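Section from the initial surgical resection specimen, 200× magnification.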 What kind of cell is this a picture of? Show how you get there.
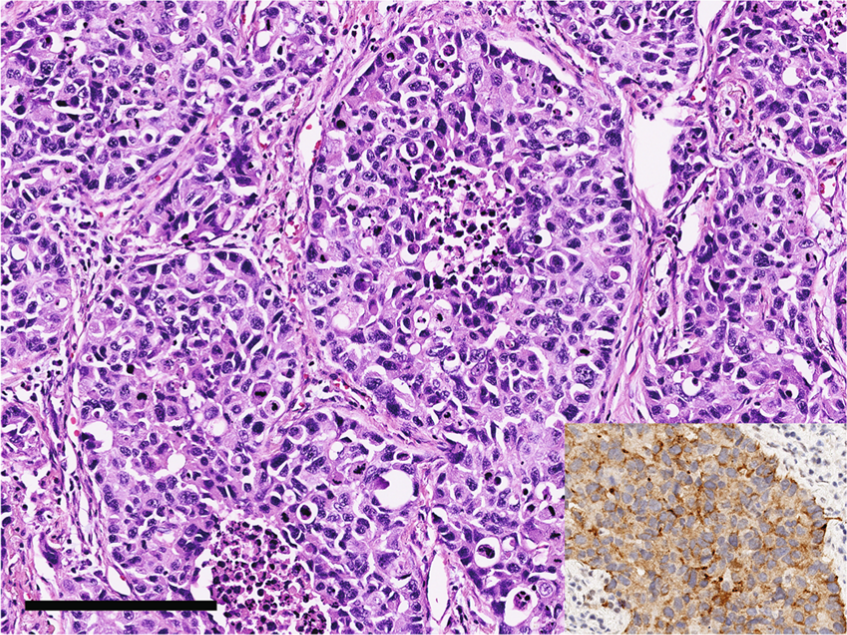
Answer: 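Polygonal cells with pink cytoplasm packed in solid sheets. Cells grouped in nests separated by thin fibrous strands. So: epithelioid cells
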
